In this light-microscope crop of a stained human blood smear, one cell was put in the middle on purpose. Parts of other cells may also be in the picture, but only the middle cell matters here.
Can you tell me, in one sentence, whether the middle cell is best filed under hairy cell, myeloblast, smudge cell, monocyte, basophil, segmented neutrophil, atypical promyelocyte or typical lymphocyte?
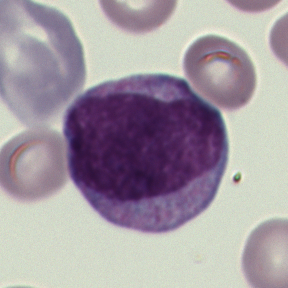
The middle cell in this particular crop is an atypical promyelocyte.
